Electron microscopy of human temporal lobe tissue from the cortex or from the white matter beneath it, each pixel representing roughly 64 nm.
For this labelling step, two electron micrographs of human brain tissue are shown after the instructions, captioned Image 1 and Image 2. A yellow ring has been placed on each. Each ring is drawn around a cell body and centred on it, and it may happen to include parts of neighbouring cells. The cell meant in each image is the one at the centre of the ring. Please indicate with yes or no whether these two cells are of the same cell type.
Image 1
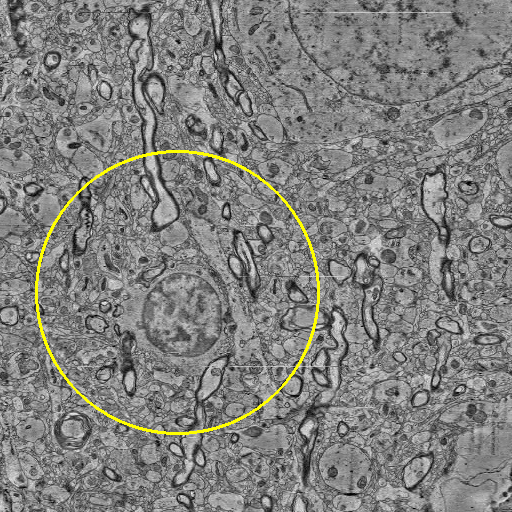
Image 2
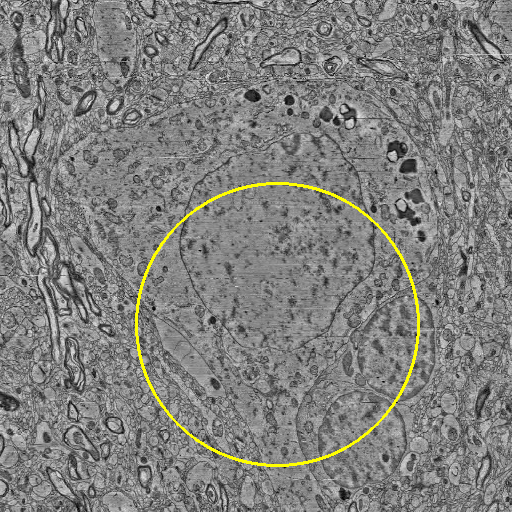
no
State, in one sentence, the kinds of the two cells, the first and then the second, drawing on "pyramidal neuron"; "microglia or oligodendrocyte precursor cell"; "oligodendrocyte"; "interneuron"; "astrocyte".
The ring in the second picture is centred on a pyramidal neuron, the ring in the first on an oligodendrocyte.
